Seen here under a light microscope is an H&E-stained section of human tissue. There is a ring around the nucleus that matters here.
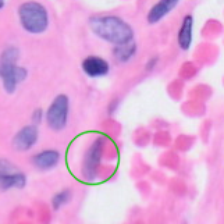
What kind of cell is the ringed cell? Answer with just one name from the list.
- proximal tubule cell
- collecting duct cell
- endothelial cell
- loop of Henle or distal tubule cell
endothelial cell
